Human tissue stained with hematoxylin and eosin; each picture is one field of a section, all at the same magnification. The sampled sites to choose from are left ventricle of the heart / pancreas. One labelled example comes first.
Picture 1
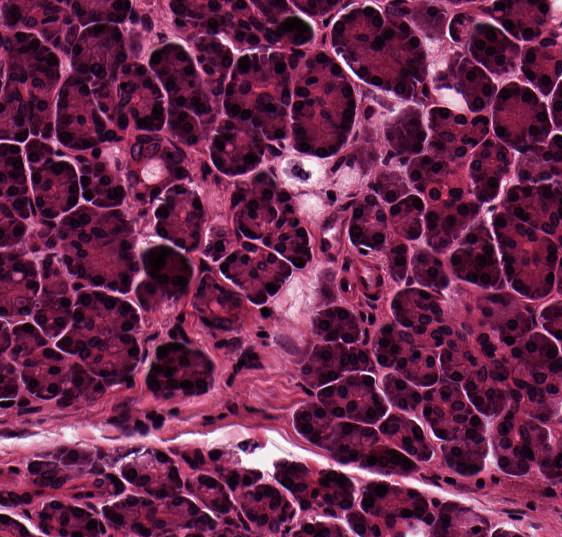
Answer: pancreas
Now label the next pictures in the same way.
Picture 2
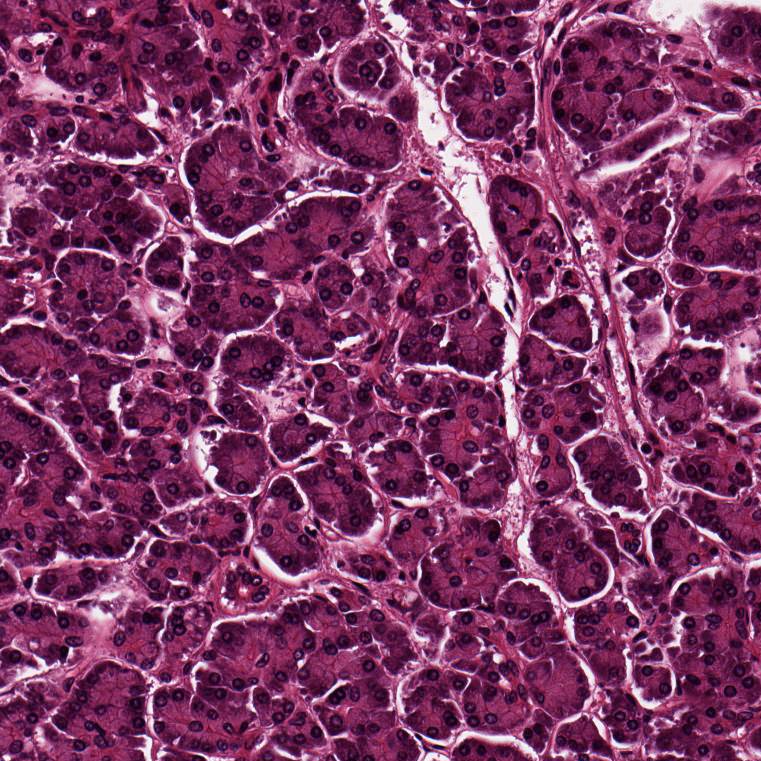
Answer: pancreas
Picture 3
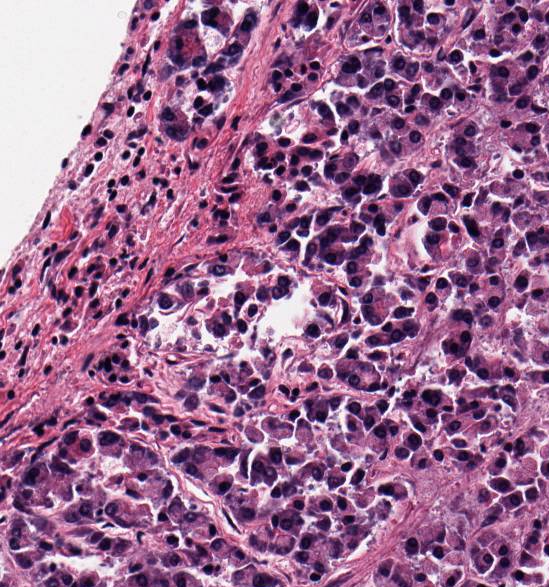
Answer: pancreas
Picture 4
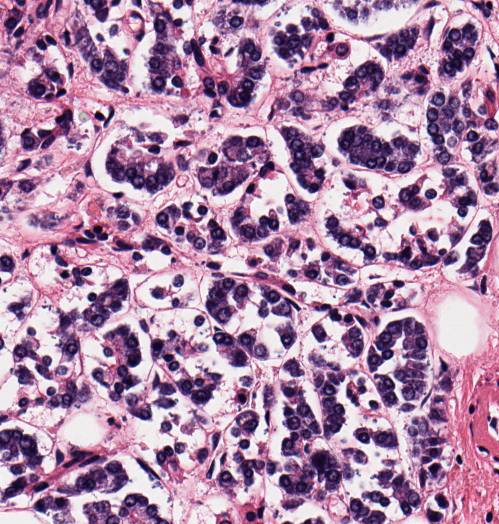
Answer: pancreas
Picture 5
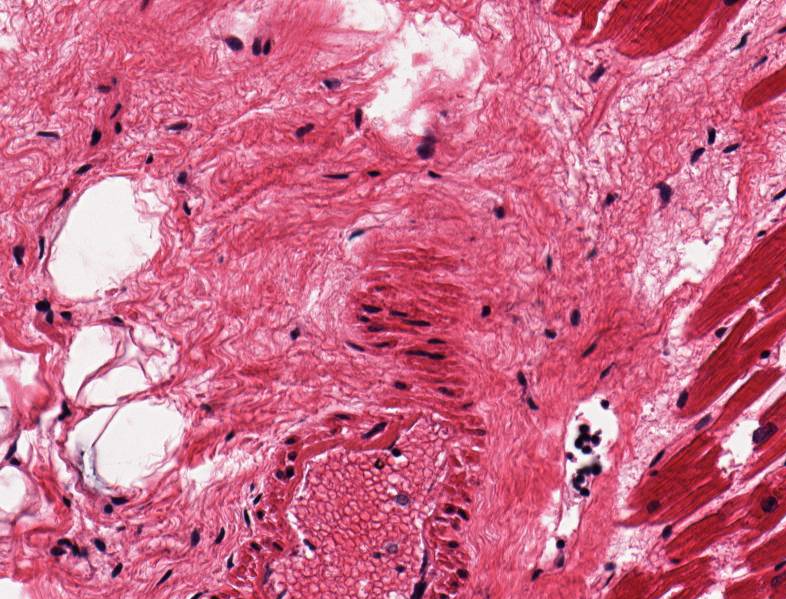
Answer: left ventricle of the heart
